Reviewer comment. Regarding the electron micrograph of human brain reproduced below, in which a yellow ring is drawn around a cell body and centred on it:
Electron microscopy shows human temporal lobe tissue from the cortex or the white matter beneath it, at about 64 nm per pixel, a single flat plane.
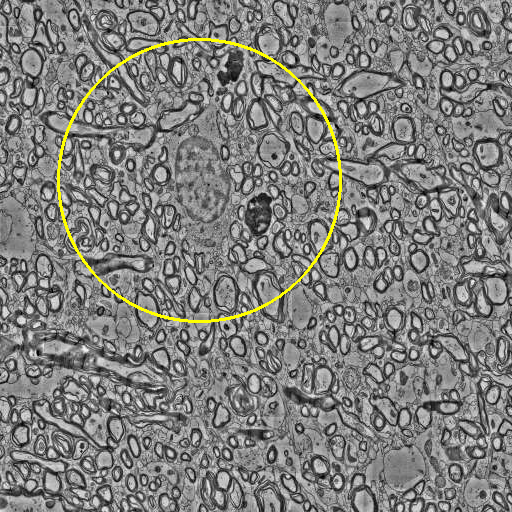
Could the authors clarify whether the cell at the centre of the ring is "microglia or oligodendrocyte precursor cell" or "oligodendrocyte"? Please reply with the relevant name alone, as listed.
oligodendrocyte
